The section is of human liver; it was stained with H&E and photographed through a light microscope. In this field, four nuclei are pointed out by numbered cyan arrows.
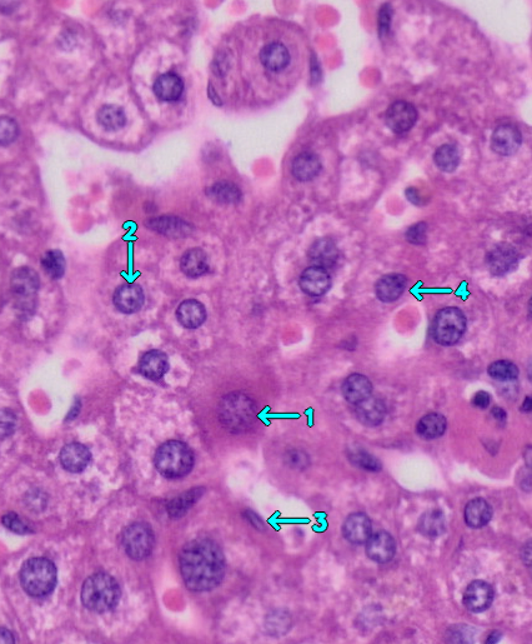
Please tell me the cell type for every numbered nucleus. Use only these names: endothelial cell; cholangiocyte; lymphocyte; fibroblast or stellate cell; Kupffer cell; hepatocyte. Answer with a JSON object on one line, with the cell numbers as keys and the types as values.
{"1": "hepatocyte", "2": "hepatocyte", "3": "Kupffer cell", "4": "hepatocyte"}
